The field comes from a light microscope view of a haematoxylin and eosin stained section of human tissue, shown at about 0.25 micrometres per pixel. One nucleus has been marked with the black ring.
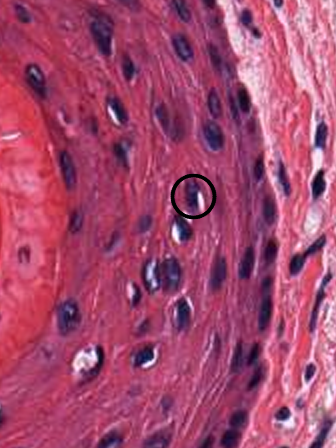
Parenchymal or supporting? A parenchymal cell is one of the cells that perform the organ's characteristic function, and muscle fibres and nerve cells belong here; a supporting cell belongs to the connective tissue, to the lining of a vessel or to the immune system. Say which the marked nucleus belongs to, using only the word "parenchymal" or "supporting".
parenchymal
